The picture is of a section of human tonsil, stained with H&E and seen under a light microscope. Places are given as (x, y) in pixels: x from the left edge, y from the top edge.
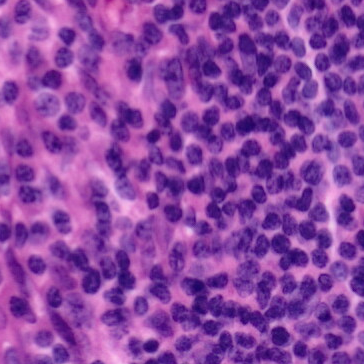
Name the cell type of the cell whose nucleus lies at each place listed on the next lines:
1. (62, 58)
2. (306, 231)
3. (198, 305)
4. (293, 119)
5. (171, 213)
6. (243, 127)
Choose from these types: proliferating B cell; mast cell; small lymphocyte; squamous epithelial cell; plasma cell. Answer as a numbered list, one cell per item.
1. plasma cell
2. small lymphocyte
3. small lymphocyte
4. small lymphocyte
5. plasma cell
6. small lymphocyte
